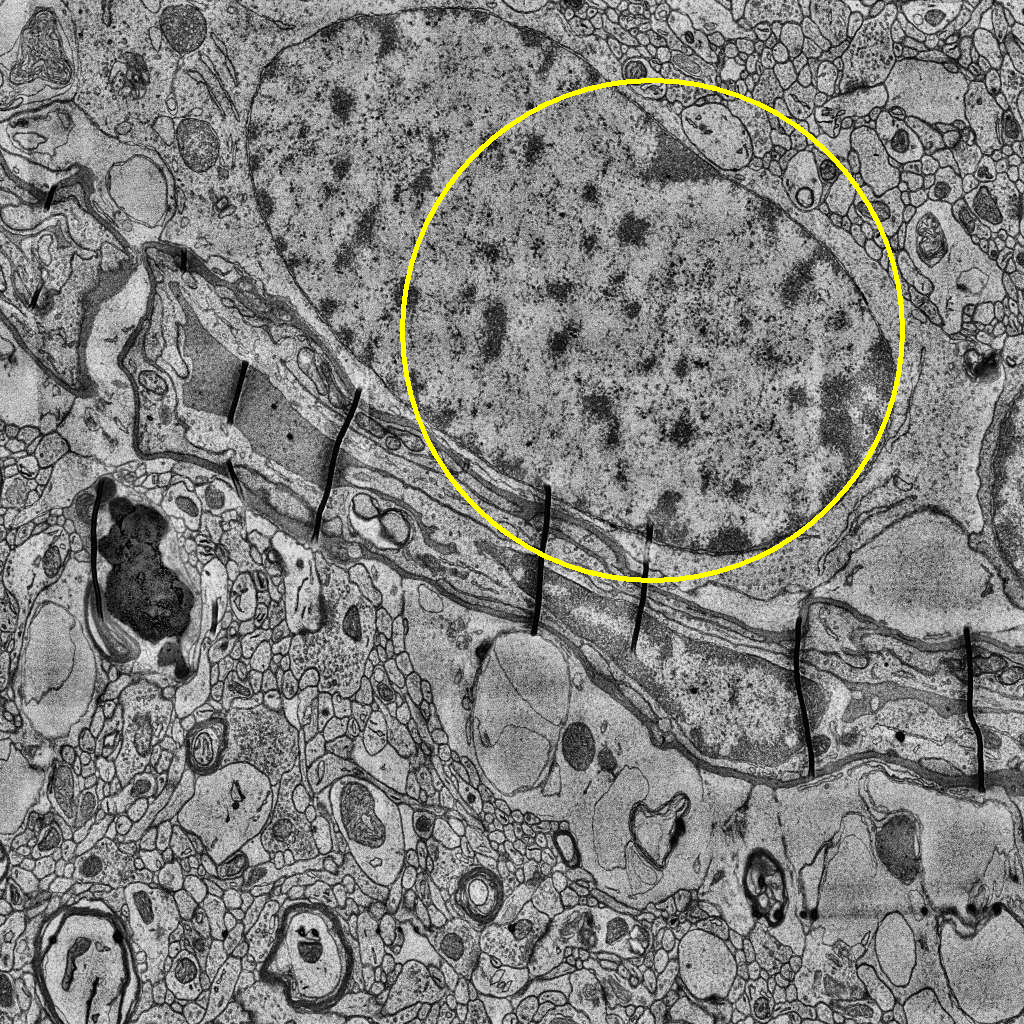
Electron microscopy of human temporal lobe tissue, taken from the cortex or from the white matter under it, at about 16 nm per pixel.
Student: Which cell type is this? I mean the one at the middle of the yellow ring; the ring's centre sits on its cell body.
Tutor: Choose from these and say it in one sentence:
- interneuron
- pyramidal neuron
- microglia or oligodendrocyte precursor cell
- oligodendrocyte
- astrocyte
The cell at the ring's centre is a microglial cell or oligodendrocyte precursor cell.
